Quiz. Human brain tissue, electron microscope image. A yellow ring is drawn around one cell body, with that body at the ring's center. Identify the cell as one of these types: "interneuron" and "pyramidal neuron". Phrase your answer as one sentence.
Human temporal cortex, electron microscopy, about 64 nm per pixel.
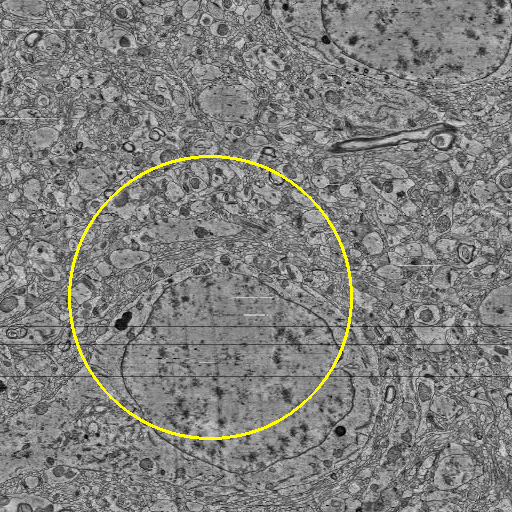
At the center of the ring sits a pyramidal neuron.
